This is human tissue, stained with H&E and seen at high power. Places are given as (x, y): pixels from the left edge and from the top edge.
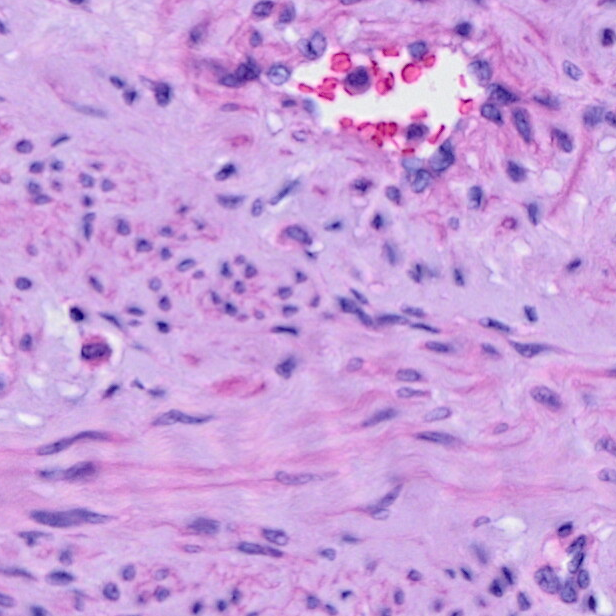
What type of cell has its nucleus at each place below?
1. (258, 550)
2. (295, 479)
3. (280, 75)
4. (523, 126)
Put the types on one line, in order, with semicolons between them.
smooth muscle cell; smooth muscle cell; endothelial cell; smooth muscle cell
